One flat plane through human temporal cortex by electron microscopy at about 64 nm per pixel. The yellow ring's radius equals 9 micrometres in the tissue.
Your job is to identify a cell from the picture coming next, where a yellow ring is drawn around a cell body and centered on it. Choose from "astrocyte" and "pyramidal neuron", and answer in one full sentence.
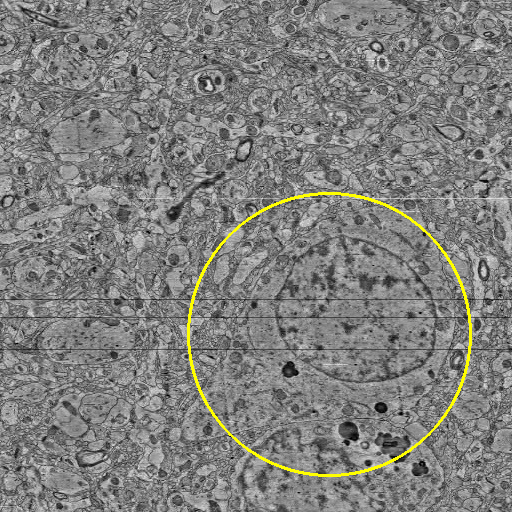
Centered in the yellow ring of the picture is the body of a pyramidal neuron.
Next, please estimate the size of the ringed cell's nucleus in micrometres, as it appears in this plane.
In this plane, the nucleus of the cell at the centre of the ring measures about 11 by 9 micrometres.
